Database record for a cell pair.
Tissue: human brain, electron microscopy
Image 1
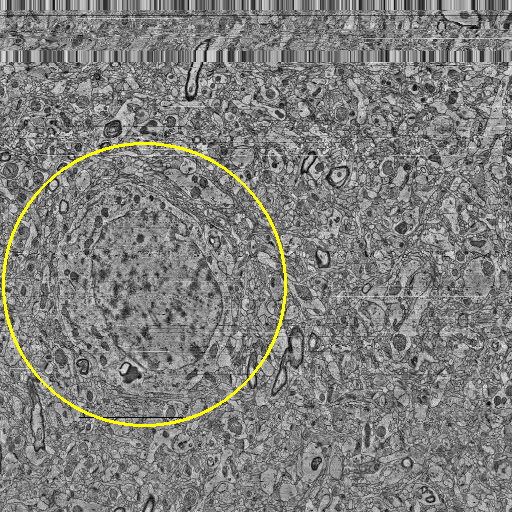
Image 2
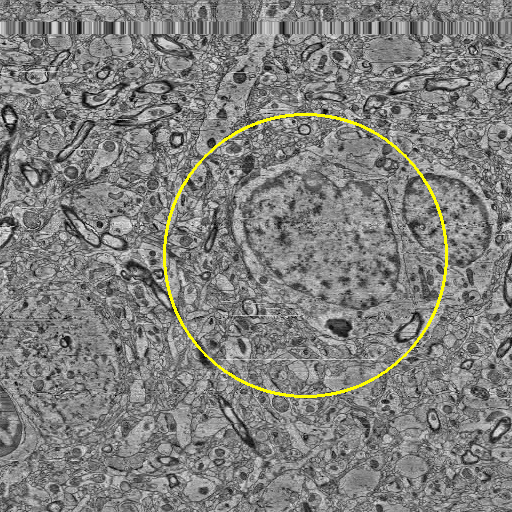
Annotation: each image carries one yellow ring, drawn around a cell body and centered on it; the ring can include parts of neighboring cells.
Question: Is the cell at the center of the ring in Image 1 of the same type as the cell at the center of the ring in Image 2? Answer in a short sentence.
Yes, the cells are of the same type.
